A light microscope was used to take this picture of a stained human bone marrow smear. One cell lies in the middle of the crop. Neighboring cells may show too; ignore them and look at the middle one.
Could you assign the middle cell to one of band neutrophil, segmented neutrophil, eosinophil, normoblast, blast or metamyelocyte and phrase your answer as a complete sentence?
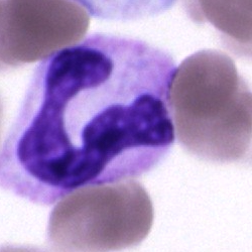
Of the cells in this crop, the central one is a band neutrophil.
